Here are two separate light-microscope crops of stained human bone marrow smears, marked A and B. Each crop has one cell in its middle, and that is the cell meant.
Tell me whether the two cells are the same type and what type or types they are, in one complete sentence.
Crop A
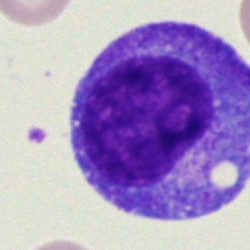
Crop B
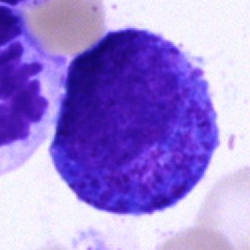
Yes, what both crops show at their centres are promyelocytes.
